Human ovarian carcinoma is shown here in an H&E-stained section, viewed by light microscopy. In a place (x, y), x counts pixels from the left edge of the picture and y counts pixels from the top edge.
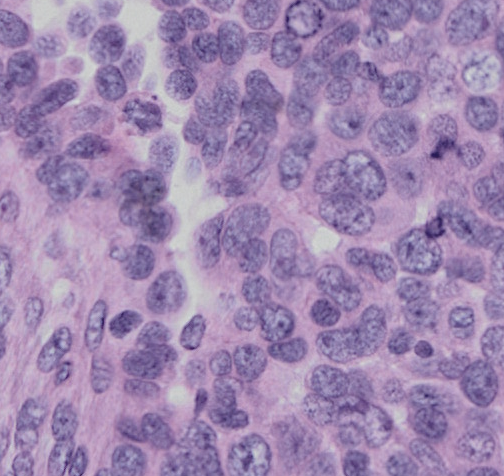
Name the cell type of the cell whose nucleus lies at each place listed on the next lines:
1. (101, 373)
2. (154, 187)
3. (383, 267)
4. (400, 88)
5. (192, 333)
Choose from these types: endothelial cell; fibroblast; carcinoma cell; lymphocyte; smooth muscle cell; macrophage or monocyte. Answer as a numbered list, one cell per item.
1. fibroblast
2. carcinoma cell
3. carcinoma cell
4. carcinoma cell
5. macrophage or monocyte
